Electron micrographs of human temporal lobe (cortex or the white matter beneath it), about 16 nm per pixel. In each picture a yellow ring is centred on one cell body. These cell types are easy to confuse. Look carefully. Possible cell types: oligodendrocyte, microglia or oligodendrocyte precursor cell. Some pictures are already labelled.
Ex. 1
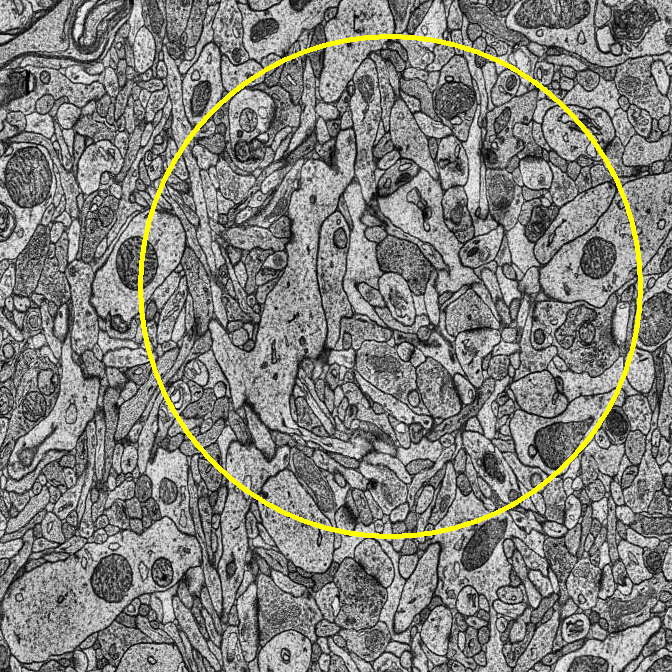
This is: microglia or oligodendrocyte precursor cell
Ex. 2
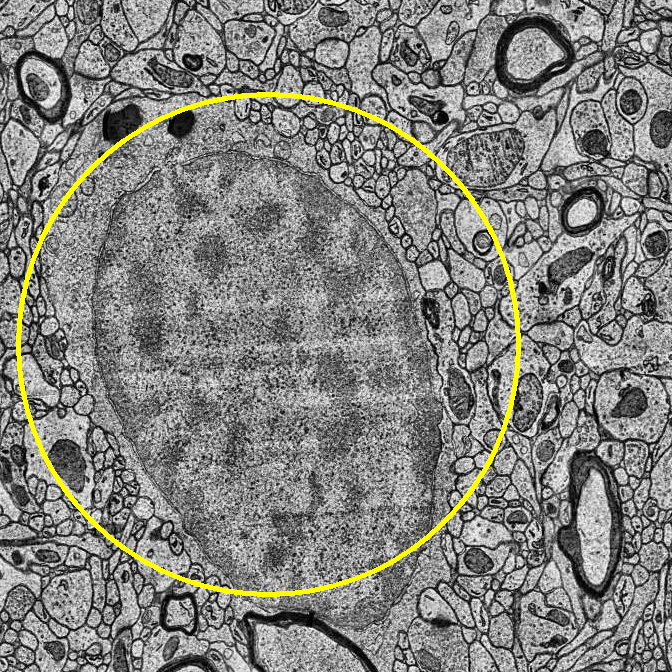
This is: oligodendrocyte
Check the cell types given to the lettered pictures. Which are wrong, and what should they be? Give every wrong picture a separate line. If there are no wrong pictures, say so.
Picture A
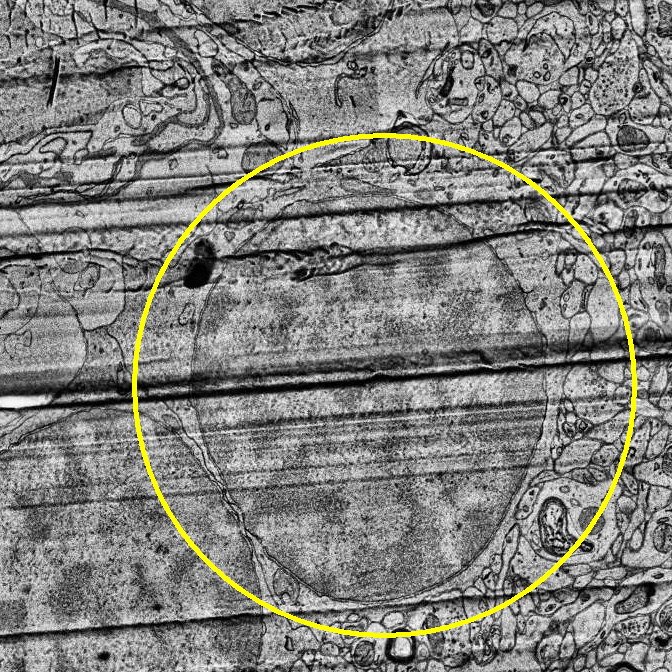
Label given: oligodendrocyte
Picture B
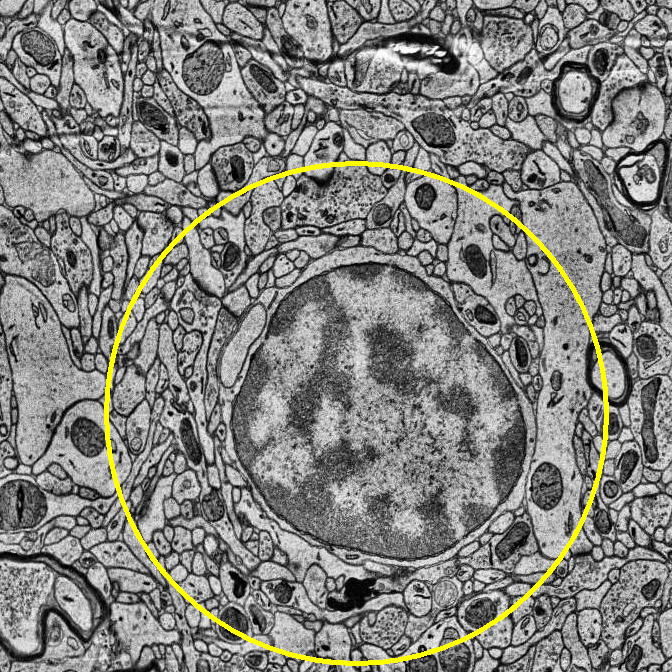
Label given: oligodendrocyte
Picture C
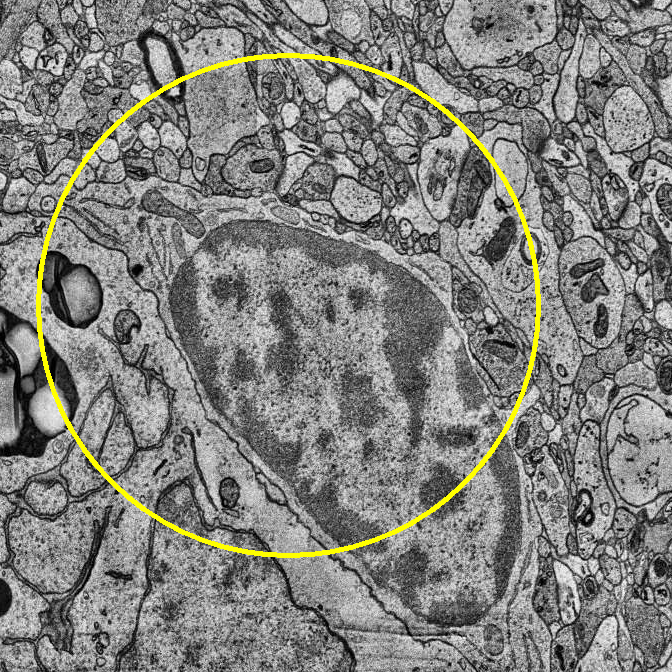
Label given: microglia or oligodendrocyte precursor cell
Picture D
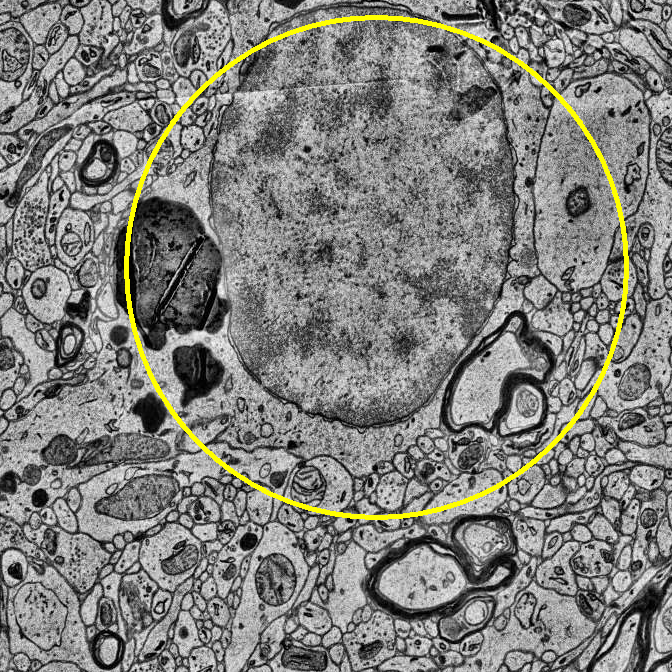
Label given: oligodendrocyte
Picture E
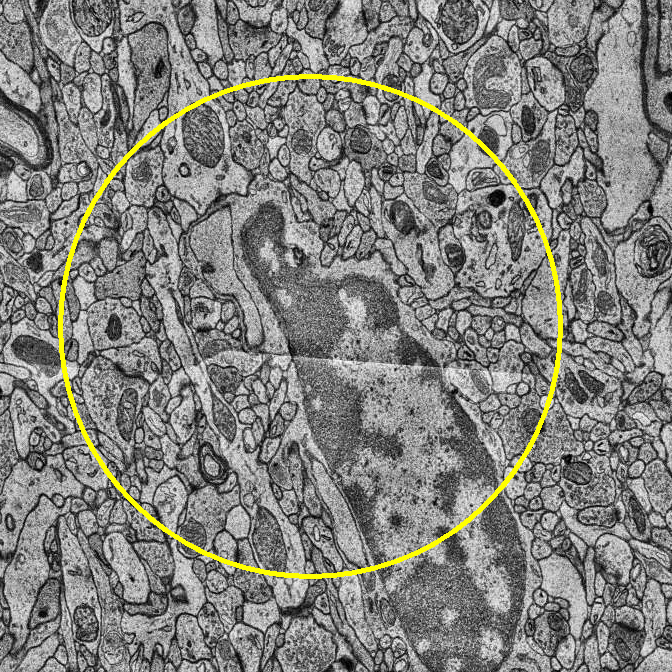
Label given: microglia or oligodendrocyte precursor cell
B: microglia or oligodendrocyte precursor cell, not oligodendrocyte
